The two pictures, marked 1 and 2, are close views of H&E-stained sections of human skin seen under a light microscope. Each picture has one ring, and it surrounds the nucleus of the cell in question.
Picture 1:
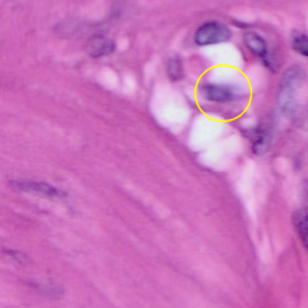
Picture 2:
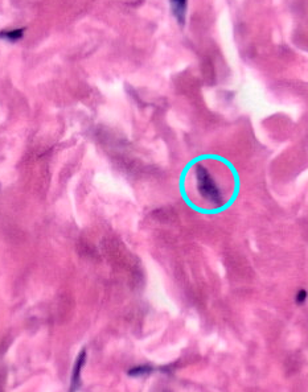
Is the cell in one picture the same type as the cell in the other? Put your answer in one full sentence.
No, they differ: the cell is an endothelial cell in picture 1 and a fibroblast in picture 2.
